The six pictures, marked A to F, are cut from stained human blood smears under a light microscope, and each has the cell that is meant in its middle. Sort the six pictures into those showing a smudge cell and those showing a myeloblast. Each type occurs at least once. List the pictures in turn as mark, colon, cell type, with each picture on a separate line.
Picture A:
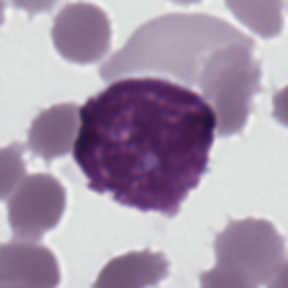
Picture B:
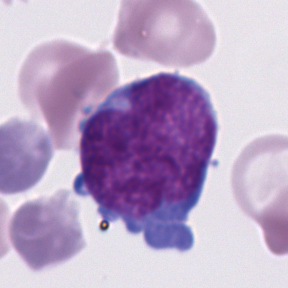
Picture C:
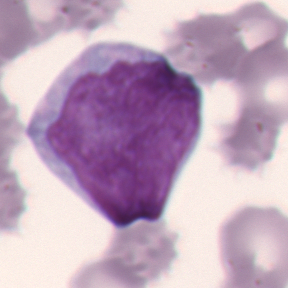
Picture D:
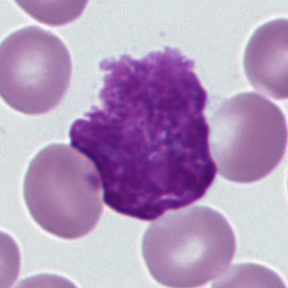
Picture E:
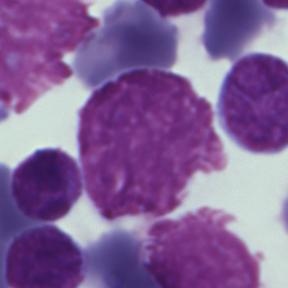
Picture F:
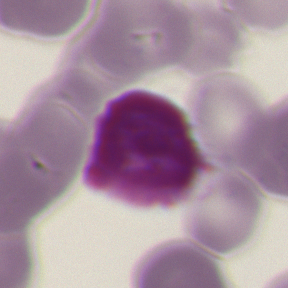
A: smudge cell
B: myeloblast
C: myeloblast
D: smudge cell
E: smudge cell
F: smudge cell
